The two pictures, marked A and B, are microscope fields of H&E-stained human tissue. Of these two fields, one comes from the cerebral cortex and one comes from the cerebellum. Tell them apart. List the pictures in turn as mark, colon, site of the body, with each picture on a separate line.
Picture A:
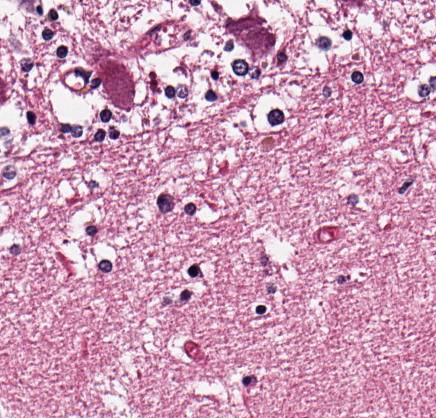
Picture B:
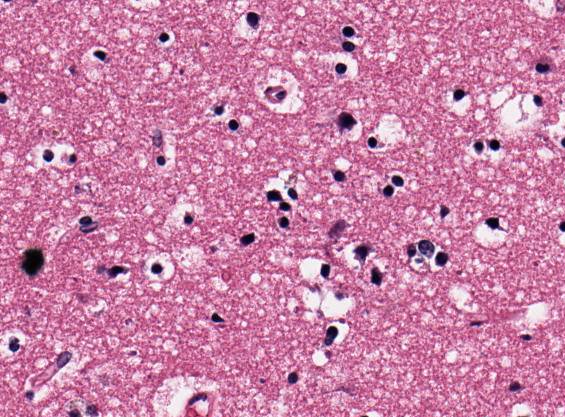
A: cerebellum
B: cerebral cortex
